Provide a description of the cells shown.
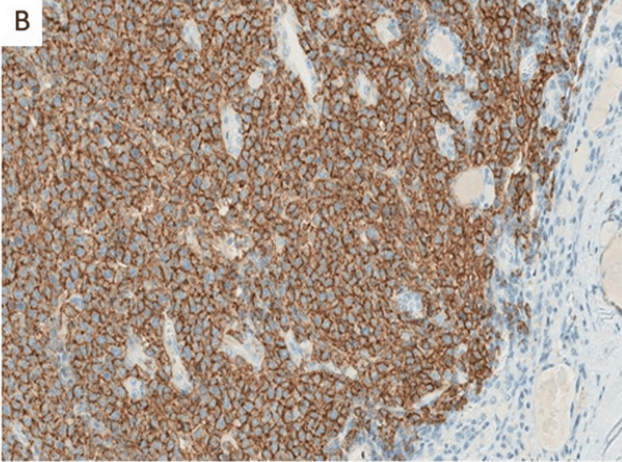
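Small vessels and a few pale, empty-looking follicle spaces are scattered through the sheet. At the right edge the infiltrate ends against loose stroma with unstained blue nuclei and pale follicles.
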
